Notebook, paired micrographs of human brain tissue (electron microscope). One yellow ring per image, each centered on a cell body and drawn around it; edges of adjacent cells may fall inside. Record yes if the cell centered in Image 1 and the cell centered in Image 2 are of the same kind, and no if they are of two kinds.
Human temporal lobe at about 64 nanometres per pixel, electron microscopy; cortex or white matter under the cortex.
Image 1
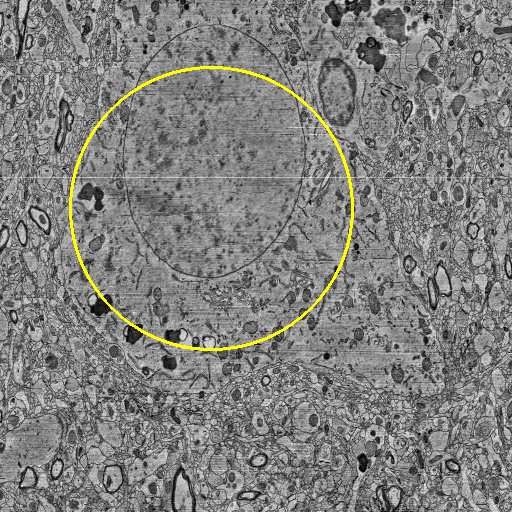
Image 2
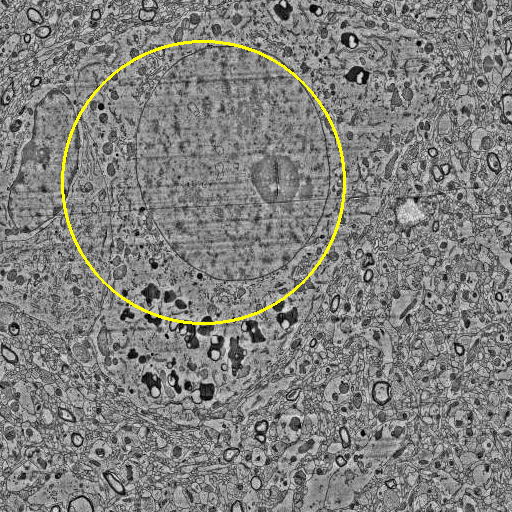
yes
